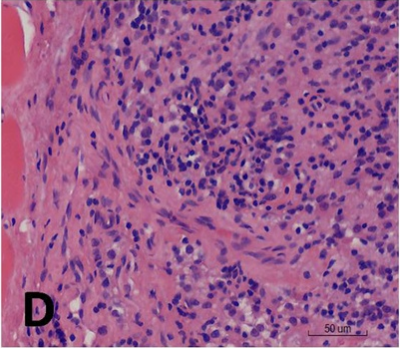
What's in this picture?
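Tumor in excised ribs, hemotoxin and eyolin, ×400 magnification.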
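This field shows neoplastic plasma cells lying within pink fibrous tissue. Along the left edge are bands of homogeneous deep pink tissue. Round cells with dark round nuclei crowd together in clusters and strands between pale pink collagenous bands. Some of these cells have nuclei set to one side and a rim of pink cytoplasm. Elongated spindle-shaped nuclei run through the fibrous bands among the round cells.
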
